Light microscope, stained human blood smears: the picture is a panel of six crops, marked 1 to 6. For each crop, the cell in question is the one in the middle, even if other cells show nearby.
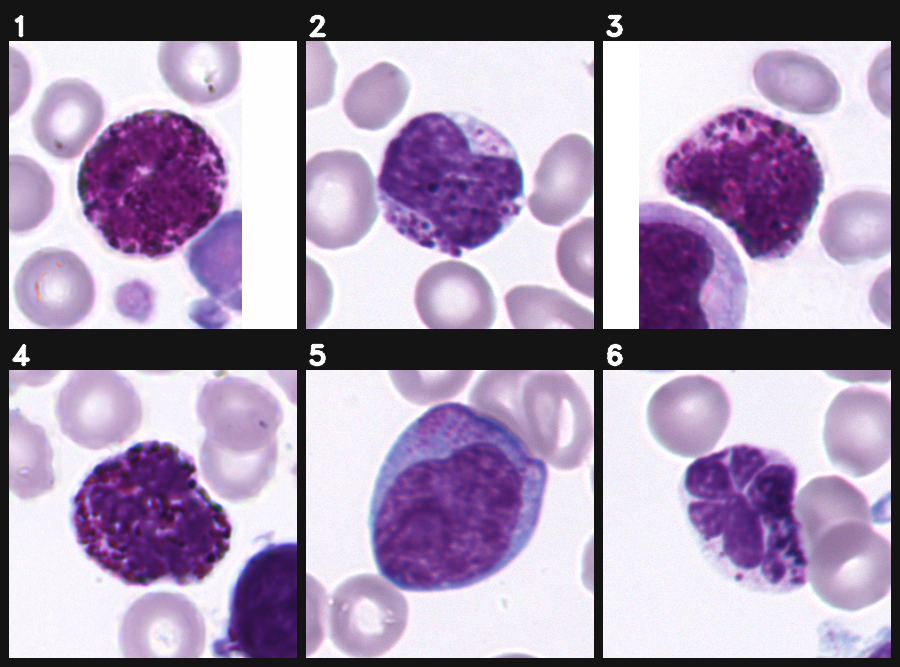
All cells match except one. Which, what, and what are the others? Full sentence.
Crop 5 stands apart from the rest as a promyelocyte, the others all being basophils.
